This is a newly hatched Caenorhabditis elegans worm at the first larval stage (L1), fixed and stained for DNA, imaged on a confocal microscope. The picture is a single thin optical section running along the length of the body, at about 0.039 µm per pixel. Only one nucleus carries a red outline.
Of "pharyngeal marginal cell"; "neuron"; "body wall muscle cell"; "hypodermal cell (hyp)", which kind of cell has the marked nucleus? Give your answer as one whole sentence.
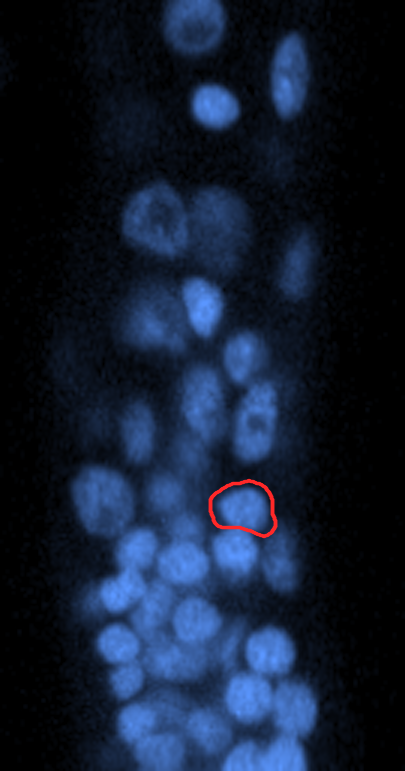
What is marked is the nucleus of a neuron.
